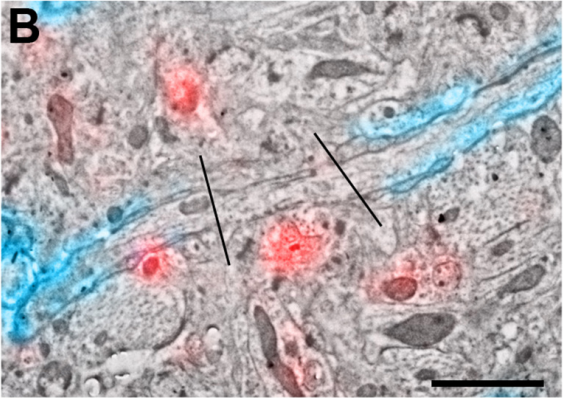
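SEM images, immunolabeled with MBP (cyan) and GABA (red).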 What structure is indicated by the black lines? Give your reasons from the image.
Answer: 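Nodes of Ranvier. Two black lines cross a thin axon running diagonally. The cyan coat along the axon is interrupted between the two lines.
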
